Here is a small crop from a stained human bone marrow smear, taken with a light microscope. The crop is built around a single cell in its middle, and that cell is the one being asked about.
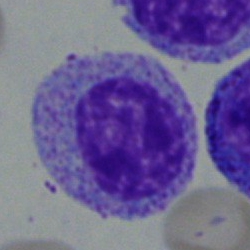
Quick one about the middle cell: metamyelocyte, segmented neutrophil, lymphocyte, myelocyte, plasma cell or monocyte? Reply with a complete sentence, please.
Classification of the middle cell gives a myelocyte.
